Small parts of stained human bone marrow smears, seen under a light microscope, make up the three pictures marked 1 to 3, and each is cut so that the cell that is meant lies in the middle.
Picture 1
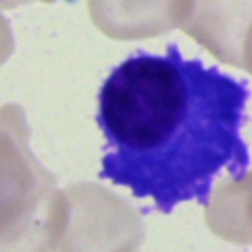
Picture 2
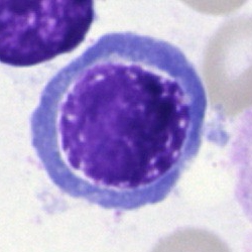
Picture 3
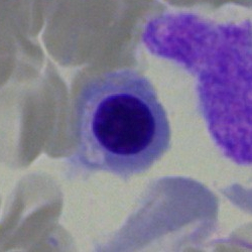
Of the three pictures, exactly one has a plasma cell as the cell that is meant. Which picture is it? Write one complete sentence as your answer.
It is picture 1 that shows the plasma cell.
